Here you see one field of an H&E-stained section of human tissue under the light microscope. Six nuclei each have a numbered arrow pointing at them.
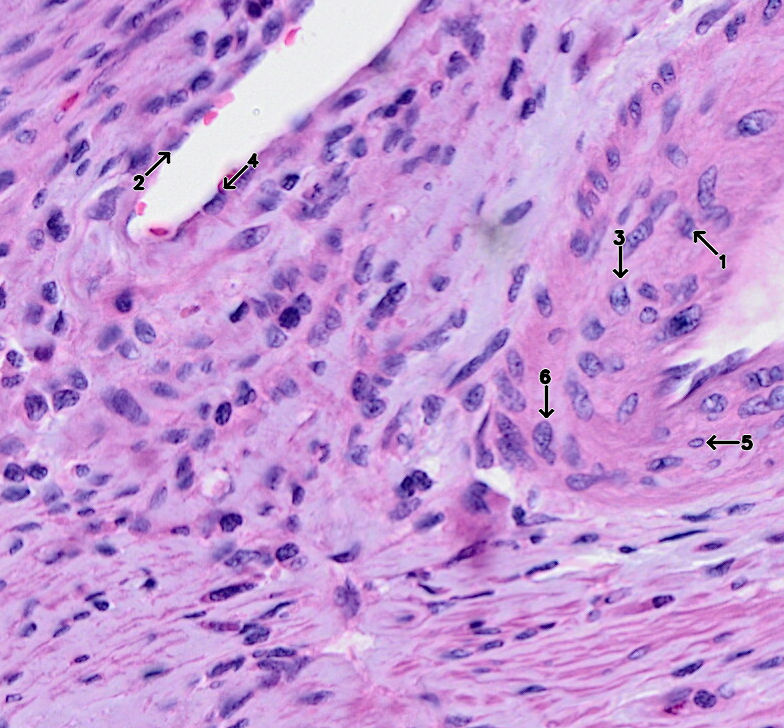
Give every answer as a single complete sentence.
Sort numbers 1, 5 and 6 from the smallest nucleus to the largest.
The order from the smallest nucleus to the largest is 5, 1, 6.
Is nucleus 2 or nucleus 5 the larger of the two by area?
At about 2 times the area of nucleus 5, nucleus 2 is the larger of the two.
